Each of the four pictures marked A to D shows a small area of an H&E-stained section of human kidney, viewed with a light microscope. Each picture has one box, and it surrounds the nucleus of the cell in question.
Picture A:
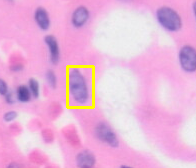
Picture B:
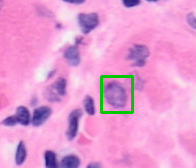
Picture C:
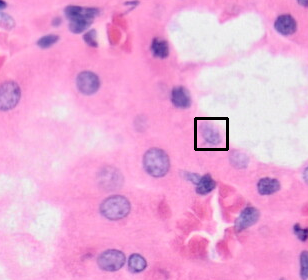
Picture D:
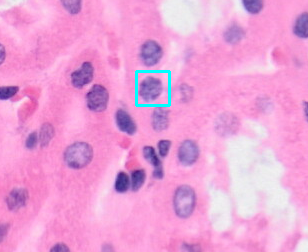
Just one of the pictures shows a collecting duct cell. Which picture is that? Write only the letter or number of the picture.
A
